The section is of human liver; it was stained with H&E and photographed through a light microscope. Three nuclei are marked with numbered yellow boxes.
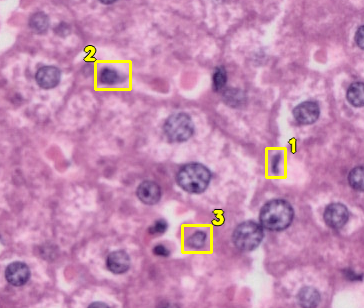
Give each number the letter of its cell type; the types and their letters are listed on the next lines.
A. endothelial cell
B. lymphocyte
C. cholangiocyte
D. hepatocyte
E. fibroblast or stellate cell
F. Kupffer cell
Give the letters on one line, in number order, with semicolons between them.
A; F; F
